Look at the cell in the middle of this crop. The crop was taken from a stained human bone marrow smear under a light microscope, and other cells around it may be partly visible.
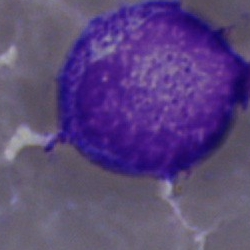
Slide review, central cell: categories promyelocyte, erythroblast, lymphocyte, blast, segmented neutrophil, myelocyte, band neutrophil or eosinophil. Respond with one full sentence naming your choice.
Here the centrally located cell is a promyelocyte.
